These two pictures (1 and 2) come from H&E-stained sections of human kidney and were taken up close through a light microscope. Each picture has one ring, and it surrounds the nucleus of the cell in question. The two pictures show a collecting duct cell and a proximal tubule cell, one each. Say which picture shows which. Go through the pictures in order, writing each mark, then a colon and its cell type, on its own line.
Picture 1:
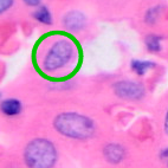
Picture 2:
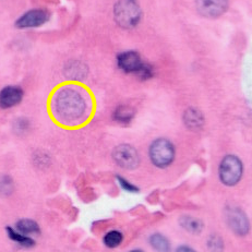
1: collecting duct cell
2: proximal tubule cell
